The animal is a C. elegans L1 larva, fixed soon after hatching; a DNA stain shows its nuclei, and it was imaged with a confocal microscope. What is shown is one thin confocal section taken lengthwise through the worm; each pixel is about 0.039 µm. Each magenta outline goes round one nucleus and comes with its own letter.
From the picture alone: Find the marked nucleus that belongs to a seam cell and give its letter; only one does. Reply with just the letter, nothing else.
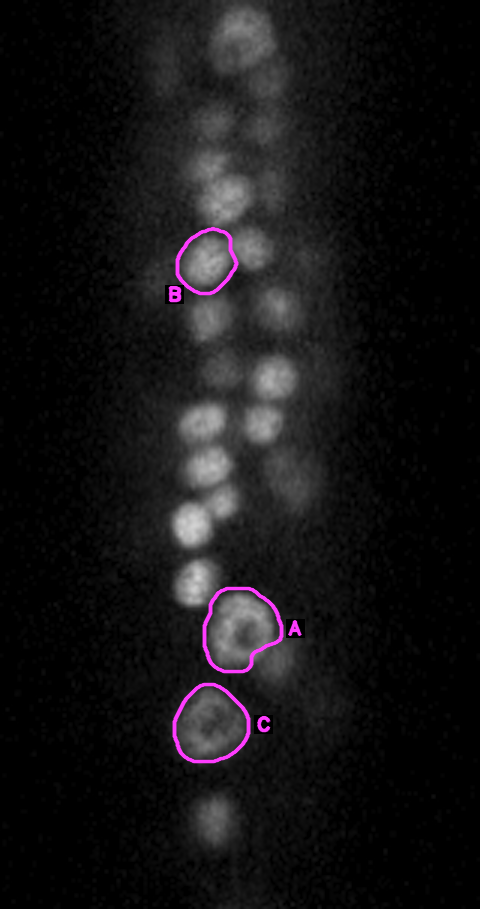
A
